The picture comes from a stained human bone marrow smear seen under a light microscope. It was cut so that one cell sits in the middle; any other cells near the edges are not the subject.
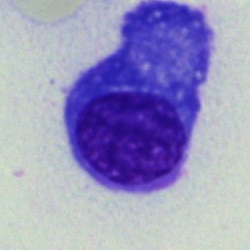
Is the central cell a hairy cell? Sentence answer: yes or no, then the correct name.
No, a plasma cell rather than a hairy cell is the cell at the centre of the crop.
